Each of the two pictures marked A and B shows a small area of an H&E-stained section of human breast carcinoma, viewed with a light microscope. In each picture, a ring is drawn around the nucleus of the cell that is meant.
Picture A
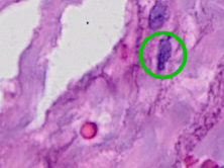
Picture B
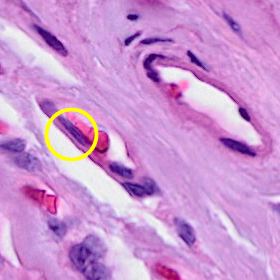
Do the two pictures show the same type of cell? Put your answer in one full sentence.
No. Picture A shows a fibroblast, but picture B shows an endothelial cell.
